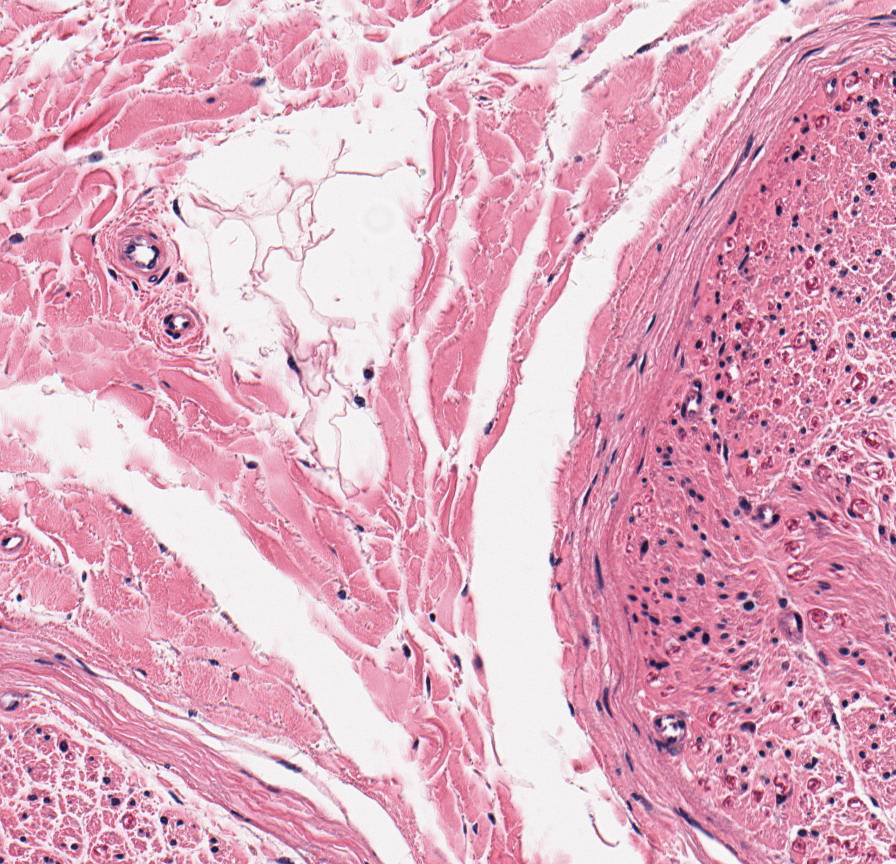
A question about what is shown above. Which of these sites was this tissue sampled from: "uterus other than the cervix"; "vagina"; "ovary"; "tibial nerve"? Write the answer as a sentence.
The site this tissue was sampled from is the tibial nerve.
